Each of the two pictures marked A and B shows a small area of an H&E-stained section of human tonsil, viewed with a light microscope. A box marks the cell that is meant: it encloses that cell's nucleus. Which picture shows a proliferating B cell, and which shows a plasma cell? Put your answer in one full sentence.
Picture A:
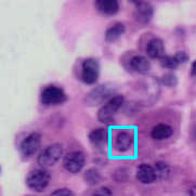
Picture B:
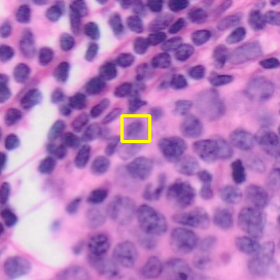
The cell in picture A is a plasma cell, and the one in picture B is a proliferating B cell.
